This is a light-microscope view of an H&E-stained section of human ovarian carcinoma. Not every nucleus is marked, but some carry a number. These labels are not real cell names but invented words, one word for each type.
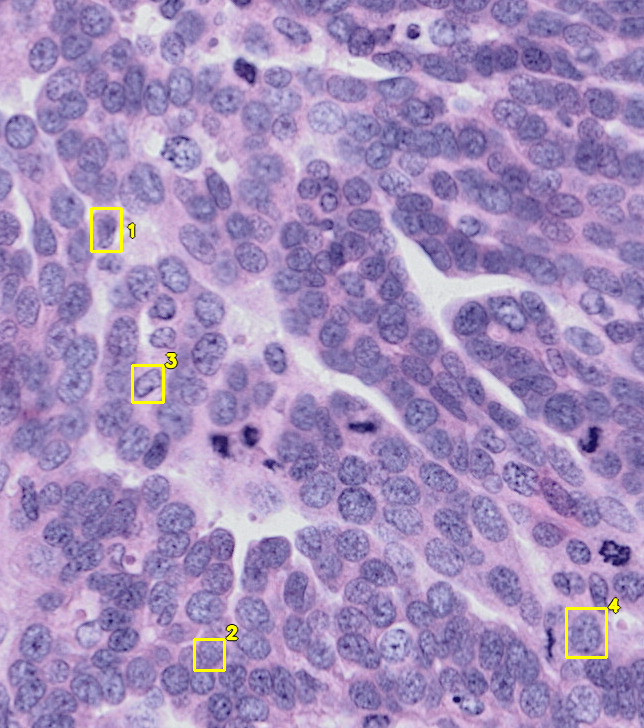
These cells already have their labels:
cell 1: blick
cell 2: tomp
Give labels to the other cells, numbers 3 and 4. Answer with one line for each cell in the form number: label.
3: blick
4: tomp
